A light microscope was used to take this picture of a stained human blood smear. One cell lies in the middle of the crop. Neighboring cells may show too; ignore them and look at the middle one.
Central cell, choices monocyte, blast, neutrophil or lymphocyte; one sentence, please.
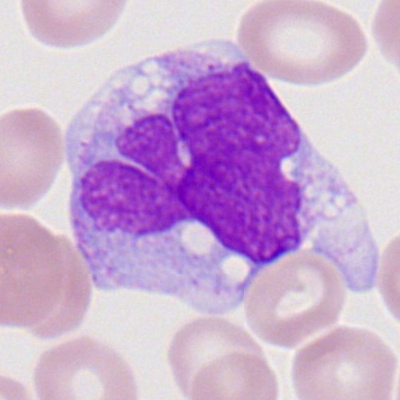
The cell of interest, in the center, is a monocyte.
